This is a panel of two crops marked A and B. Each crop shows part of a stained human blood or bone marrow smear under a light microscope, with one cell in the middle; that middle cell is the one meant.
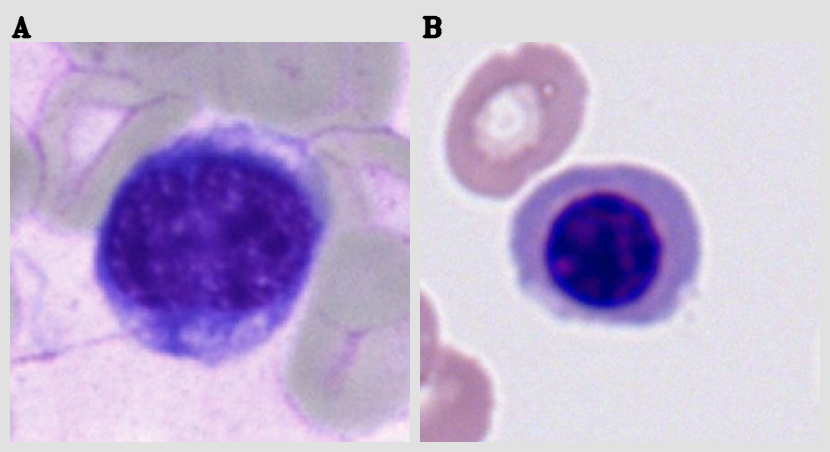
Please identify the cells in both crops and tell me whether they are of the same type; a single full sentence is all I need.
No, the labels go like this: crop A is a lymphocyte and crop B is an erythroblast.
